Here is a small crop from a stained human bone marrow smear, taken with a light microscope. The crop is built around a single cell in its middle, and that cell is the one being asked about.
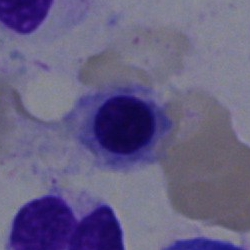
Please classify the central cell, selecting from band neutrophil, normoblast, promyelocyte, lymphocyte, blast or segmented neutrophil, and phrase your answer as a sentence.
Answering briefly, the cell in the middle is a normoblast.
